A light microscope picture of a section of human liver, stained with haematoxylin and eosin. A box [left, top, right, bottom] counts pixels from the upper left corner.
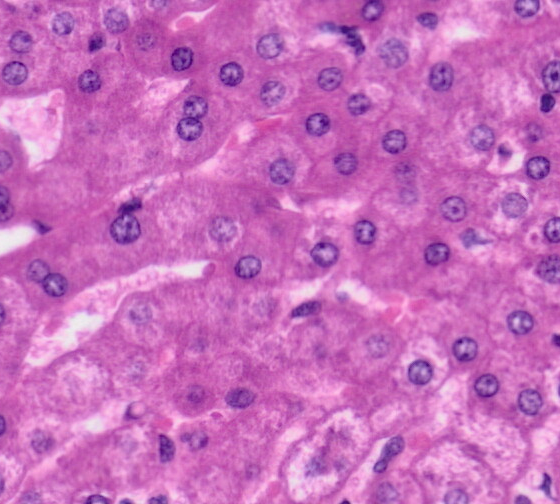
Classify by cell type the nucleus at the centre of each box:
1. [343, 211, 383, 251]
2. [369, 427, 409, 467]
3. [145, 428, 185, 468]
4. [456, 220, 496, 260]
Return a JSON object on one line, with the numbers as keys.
{"1": "hepatocyte", "2": "Kupffer cell", "3": "fibroblast or stellate cell", "4": "endothelial cell"}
